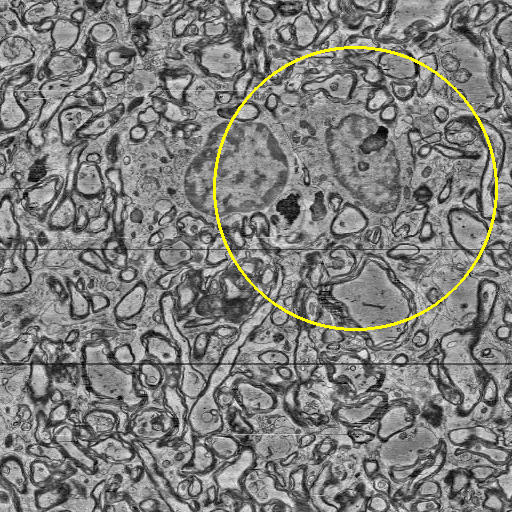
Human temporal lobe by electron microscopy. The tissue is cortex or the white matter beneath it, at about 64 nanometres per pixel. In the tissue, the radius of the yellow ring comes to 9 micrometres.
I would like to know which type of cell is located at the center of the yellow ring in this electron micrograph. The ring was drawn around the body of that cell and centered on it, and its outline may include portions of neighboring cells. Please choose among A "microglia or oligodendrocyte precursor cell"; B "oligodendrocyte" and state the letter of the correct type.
B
